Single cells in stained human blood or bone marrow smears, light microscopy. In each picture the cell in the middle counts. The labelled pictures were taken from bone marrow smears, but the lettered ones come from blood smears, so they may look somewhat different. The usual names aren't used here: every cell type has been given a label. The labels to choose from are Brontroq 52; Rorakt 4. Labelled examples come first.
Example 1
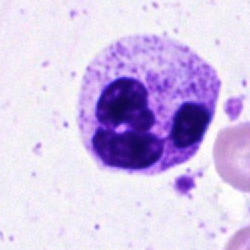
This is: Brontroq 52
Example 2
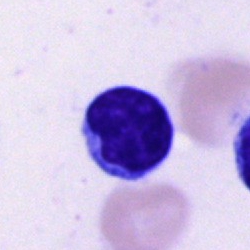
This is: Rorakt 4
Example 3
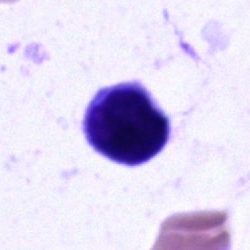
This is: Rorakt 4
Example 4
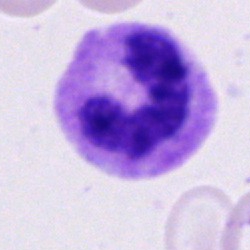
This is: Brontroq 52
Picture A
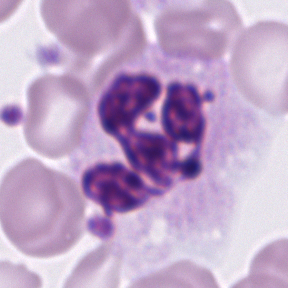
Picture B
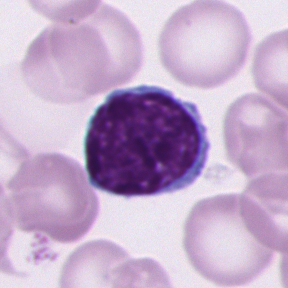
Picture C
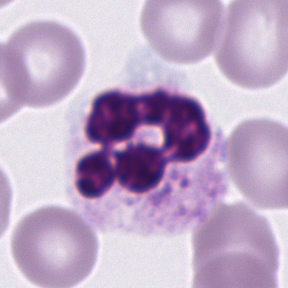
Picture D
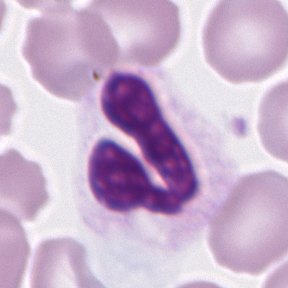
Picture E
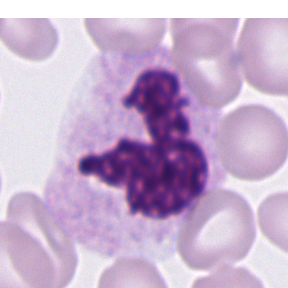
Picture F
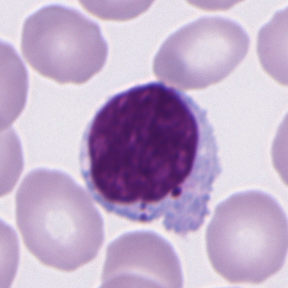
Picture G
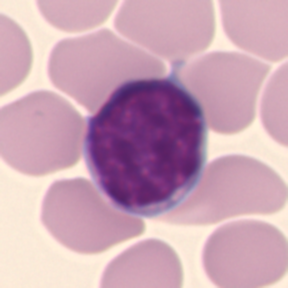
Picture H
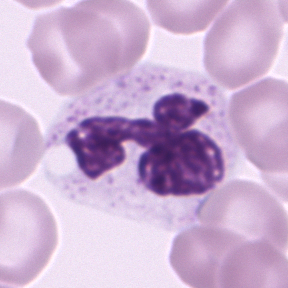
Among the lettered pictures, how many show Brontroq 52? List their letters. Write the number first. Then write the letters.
Count: 5 (A, C, D, E, H)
